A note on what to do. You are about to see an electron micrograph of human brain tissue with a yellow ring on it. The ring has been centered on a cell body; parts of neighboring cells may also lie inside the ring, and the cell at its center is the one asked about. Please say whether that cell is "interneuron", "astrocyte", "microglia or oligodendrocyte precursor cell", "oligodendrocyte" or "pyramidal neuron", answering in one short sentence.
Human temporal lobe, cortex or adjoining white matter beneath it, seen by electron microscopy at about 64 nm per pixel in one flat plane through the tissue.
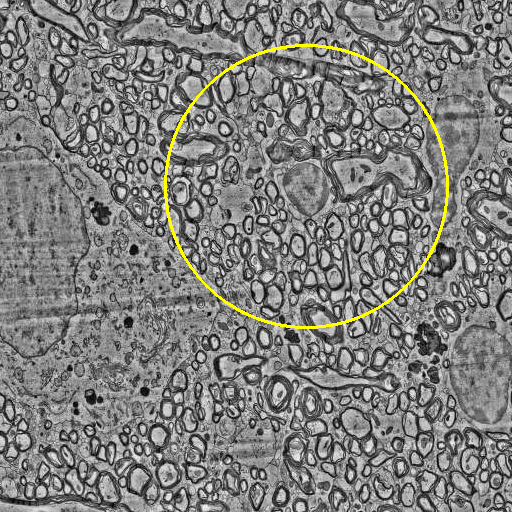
The yellow ring sits on a microglial cell or oligodendrocyte precursor cell.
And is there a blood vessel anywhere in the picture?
No, none shows.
